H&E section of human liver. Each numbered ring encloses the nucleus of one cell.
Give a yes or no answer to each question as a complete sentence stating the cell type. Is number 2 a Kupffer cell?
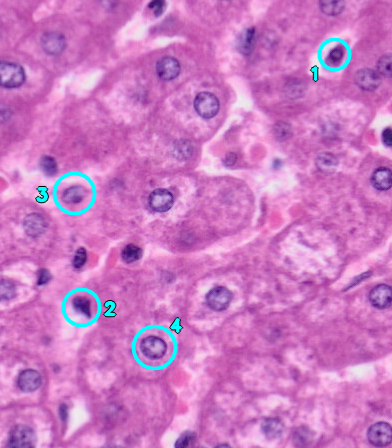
No, number 2 belongs to an endothelial cell, not to a Kupffer cell.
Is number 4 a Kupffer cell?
No, number 4 is not a Kupffer cell but a hepatocyte.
